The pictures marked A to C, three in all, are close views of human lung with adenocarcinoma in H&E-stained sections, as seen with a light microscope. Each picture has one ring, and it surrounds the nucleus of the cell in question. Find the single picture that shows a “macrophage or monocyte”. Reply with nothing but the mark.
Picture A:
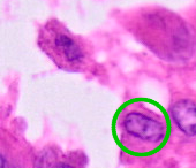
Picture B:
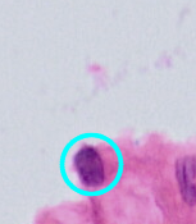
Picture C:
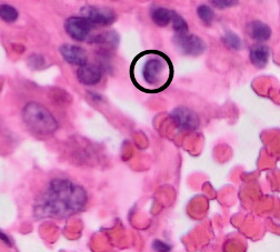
A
